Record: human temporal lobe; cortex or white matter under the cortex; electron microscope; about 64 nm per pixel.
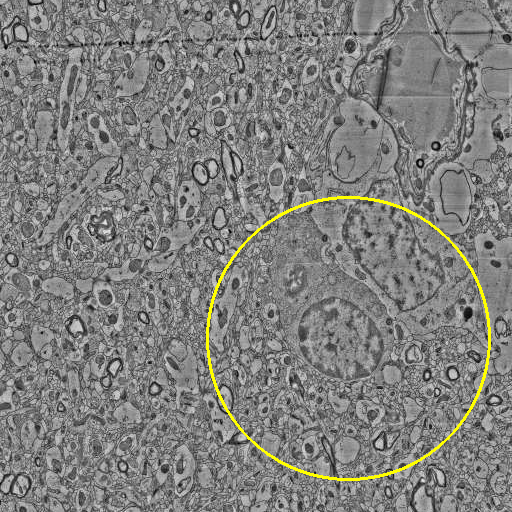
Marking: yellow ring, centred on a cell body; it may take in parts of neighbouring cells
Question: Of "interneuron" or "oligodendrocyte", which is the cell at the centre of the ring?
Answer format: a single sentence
The ring surrounds the body of an oligodendrocyte.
